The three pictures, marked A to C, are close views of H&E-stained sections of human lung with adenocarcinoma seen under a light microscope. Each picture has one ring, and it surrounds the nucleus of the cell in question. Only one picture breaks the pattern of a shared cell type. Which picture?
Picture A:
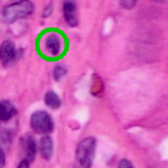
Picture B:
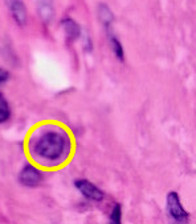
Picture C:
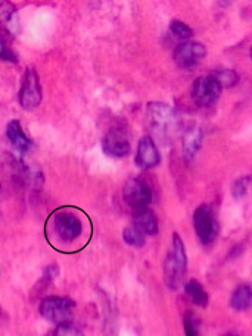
A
